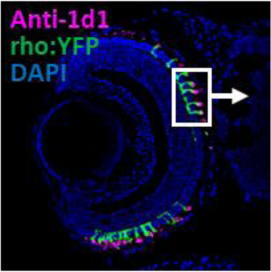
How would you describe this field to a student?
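This is a section through a larval eye, with the lens on the left and the layered retina curving around it, its nuclei stained blue. Along the outermost layer of the retina runs a row of green cells with elongated bodies, densest in the lower part of the section and more spaced above. Magenta dots sit at the outer tips of these green cells, close to the back of the eye. The inner layers show only blue nuclei, with no green or magenta.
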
